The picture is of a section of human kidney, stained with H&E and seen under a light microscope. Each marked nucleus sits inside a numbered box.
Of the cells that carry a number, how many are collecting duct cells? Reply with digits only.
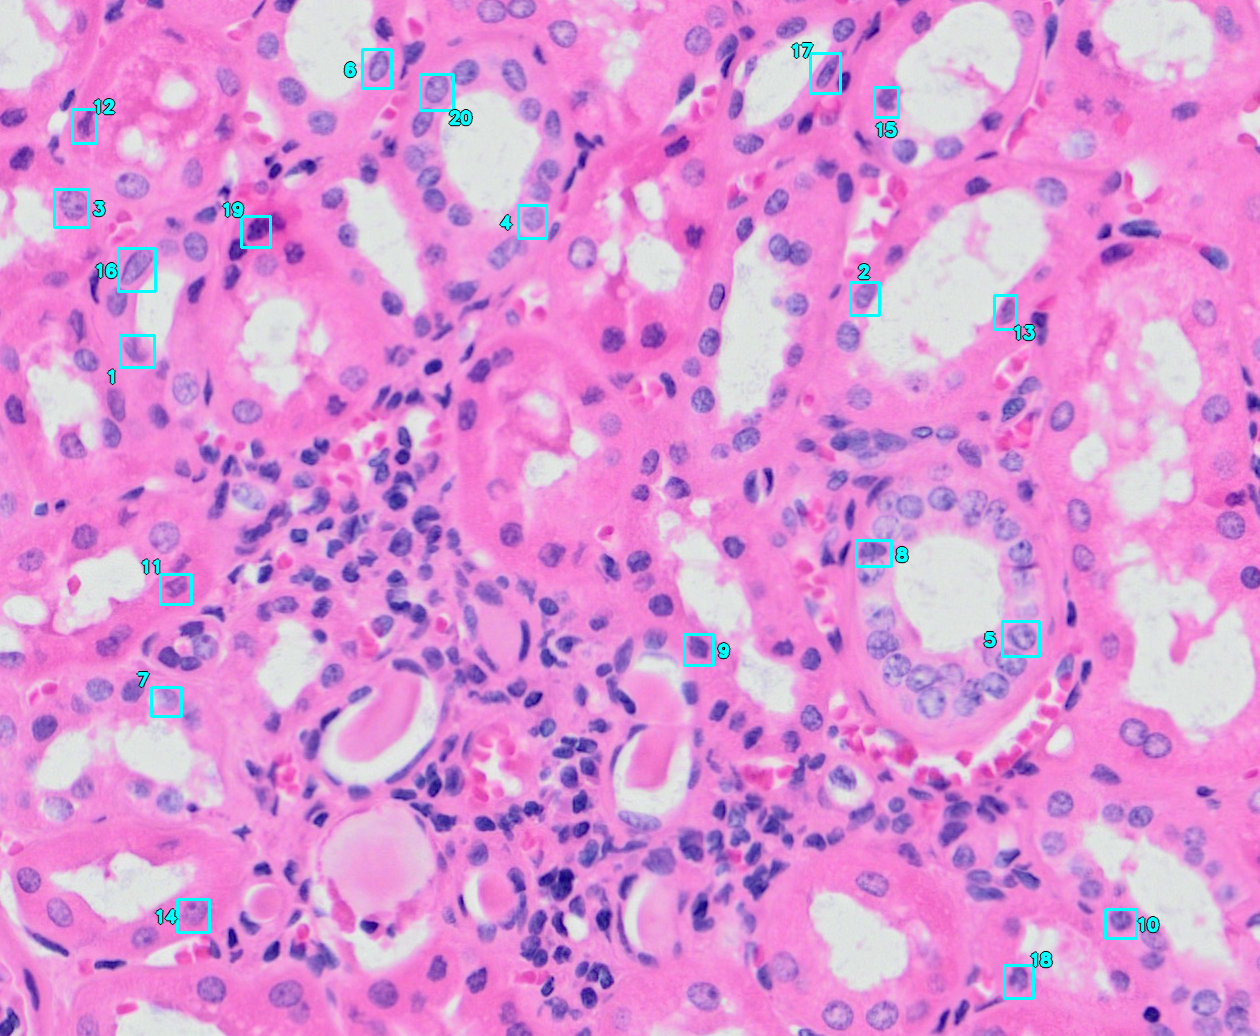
8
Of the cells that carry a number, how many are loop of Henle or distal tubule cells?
7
